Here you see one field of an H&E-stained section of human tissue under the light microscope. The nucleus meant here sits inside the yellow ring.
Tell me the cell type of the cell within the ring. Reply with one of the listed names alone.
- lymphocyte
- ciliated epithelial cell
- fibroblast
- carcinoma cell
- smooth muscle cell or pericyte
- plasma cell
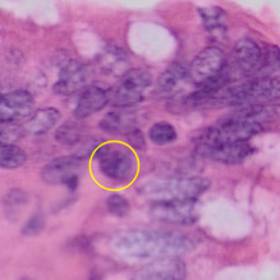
ciliated epithelial cell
